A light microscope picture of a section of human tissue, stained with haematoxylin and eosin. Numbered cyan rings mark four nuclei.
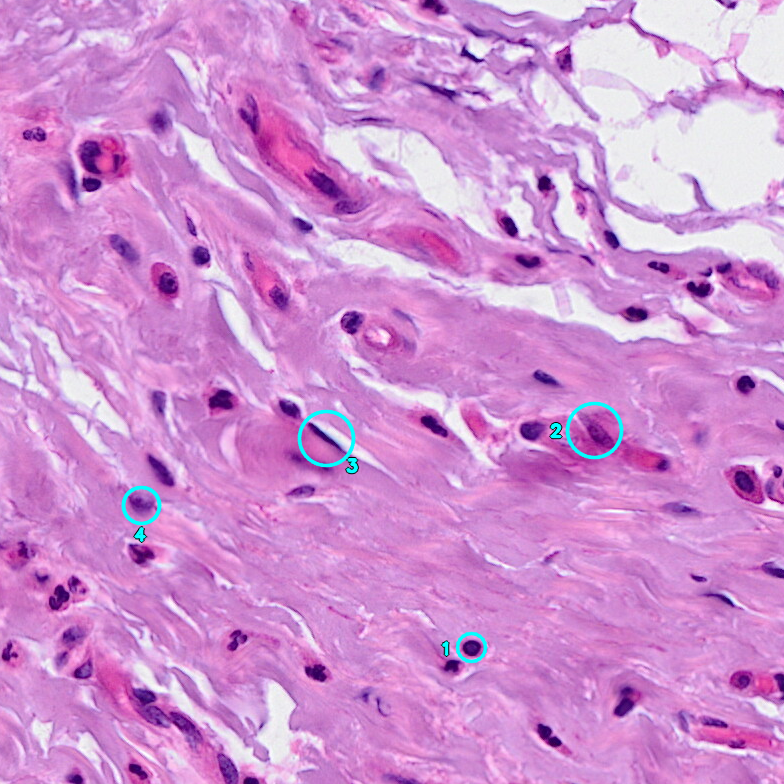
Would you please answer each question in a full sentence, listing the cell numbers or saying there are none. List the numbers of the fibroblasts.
The cells numbered 2, 3 and 4 are of the kind known as fibroblasts.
